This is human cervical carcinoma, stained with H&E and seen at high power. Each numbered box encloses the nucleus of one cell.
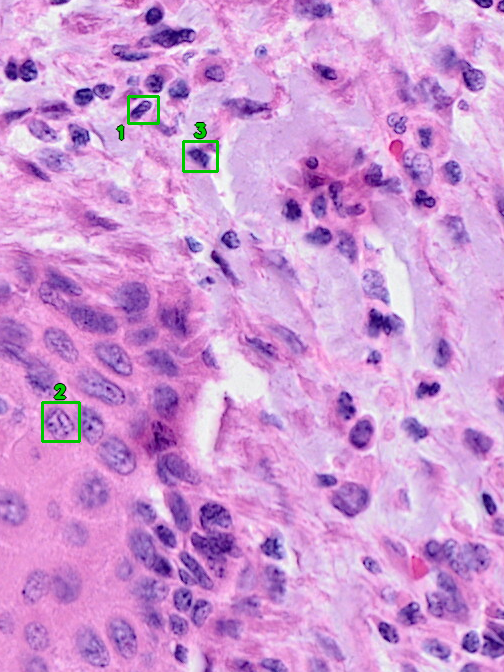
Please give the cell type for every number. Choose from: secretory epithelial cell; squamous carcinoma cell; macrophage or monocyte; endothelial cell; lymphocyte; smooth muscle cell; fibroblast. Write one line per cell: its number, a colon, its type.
1: lymphocyte
2: squamous carcinoma cell
3: lymphocyte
